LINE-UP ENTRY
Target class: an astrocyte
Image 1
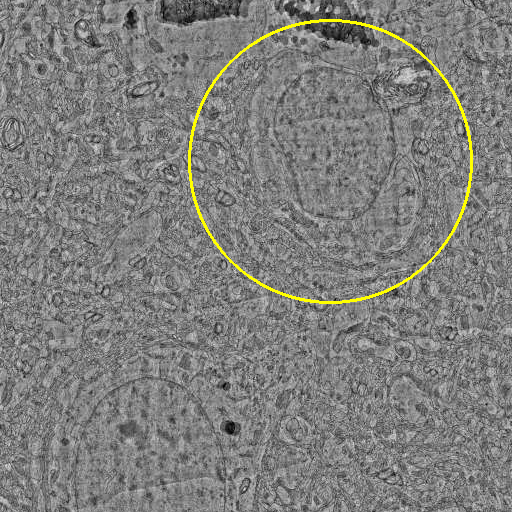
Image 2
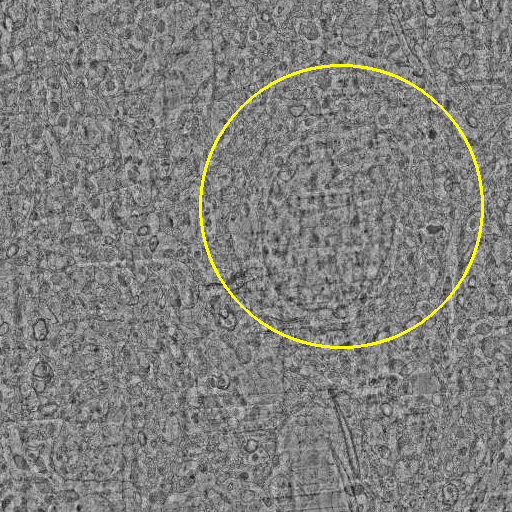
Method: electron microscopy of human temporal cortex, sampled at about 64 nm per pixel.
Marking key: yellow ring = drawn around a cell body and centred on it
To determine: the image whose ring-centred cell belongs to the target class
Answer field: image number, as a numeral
1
